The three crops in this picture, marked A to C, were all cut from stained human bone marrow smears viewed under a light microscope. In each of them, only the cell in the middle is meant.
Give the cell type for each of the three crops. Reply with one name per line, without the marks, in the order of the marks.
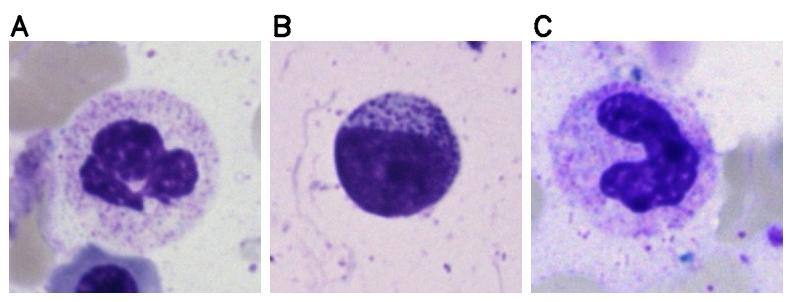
segmented neutrophil
metamyelocyte
band neutrophil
